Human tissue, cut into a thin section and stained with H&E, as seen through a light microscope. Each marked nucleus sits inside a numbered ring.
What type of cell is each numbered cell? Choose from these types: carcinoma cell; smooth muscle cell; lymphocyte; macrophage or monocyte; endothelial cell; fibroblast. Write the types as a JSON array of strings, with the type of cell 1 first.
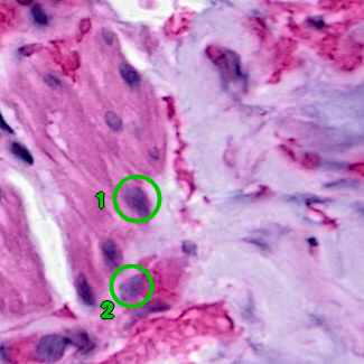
["smooth muscle cell", "endothelial cell"]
